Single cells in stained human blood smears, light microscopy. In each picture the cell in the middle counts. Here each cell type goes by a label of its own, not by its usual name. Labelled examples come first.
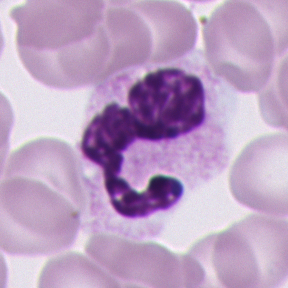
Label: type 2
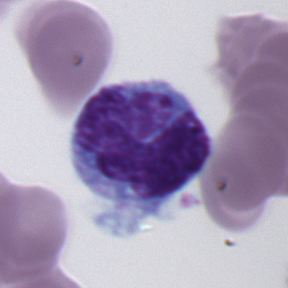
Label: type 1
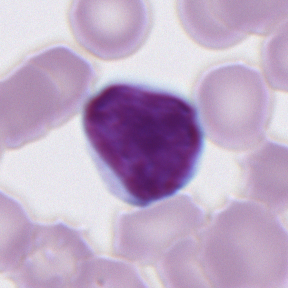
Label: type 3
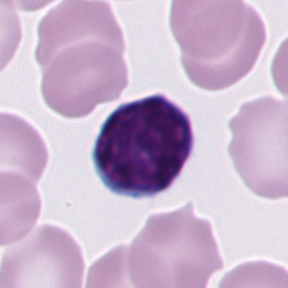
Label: type 3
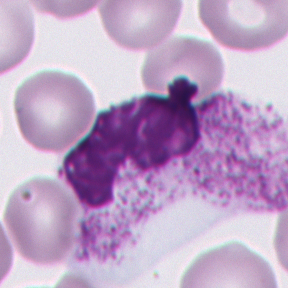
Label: type 2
